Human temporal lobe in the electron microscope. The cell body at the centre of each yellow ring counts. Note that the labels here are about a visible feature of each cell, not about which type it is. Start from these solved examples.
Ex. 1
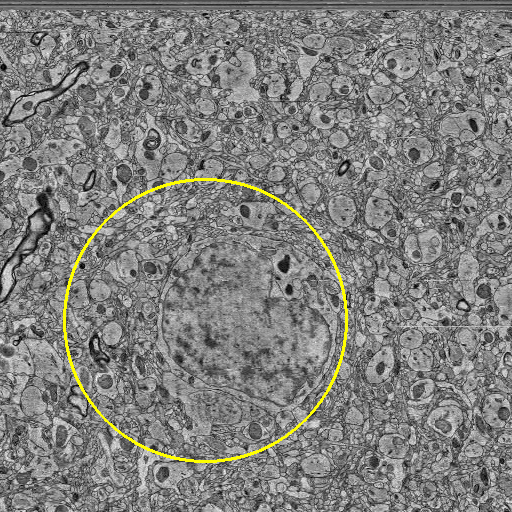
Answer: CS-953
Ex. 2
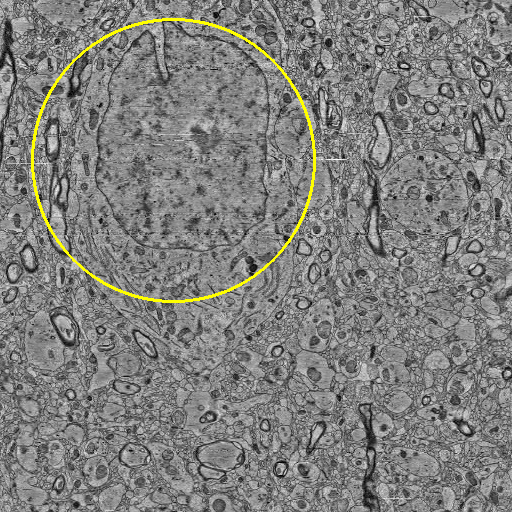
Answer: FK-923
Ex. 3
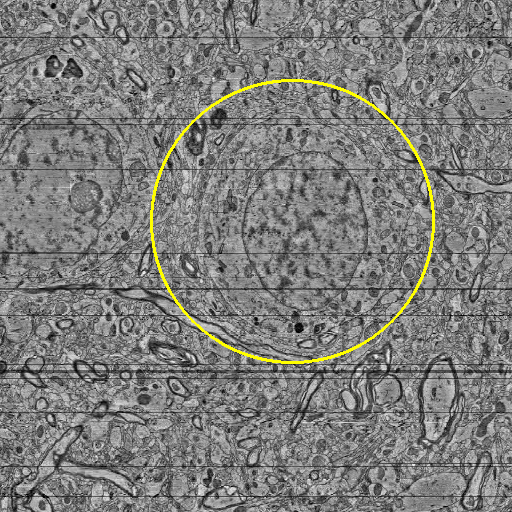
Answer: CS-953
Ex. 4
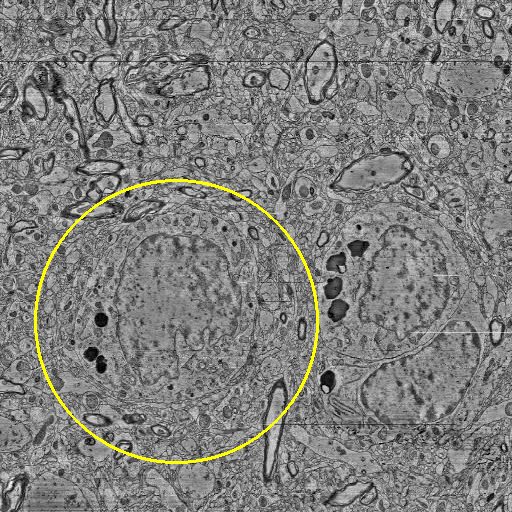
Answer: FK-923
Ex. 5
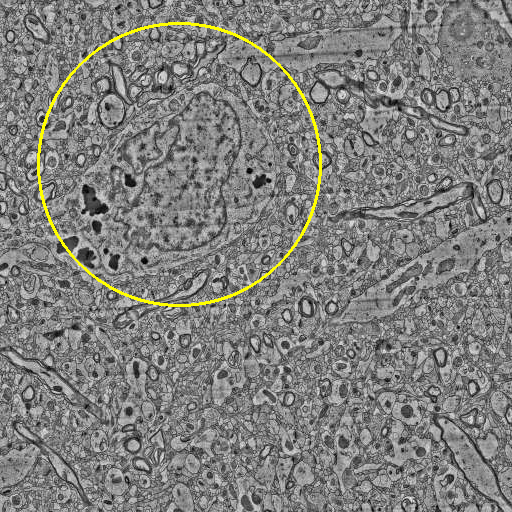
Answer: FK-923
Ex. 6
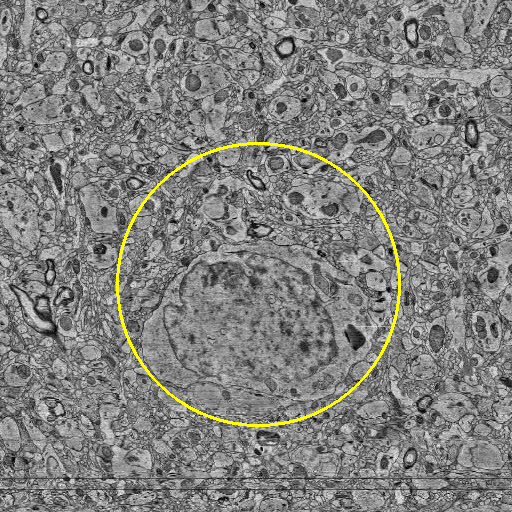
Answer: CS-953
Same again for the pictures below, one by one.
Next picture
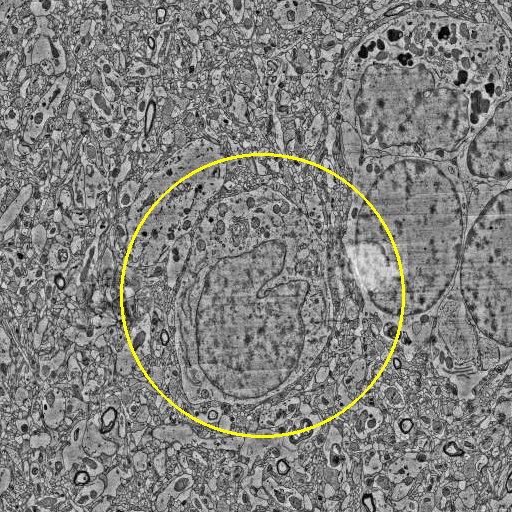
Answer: FK-923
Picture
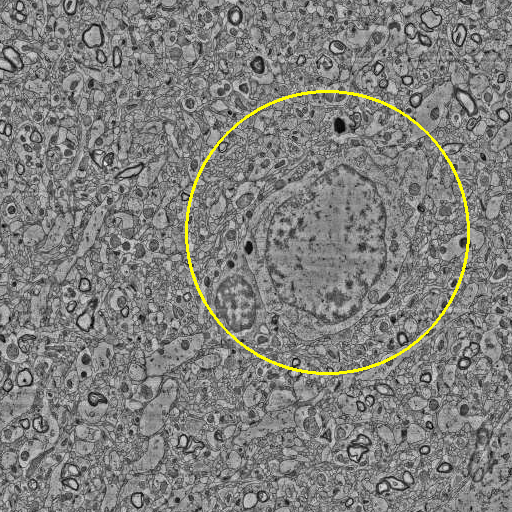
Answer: CS-953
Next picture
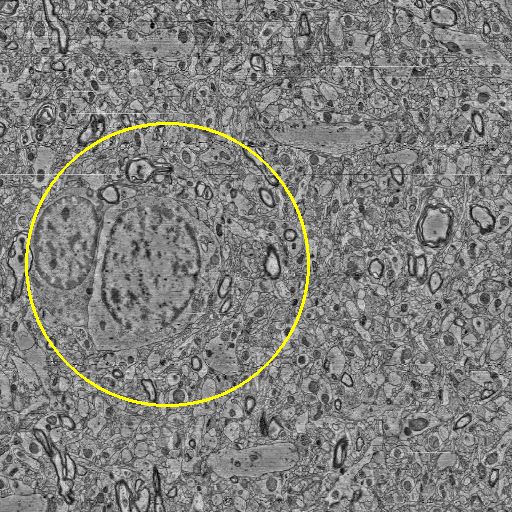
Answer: CS-953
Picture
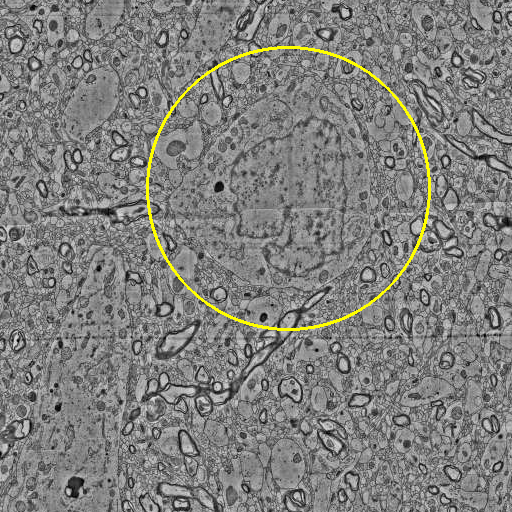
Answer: FK-923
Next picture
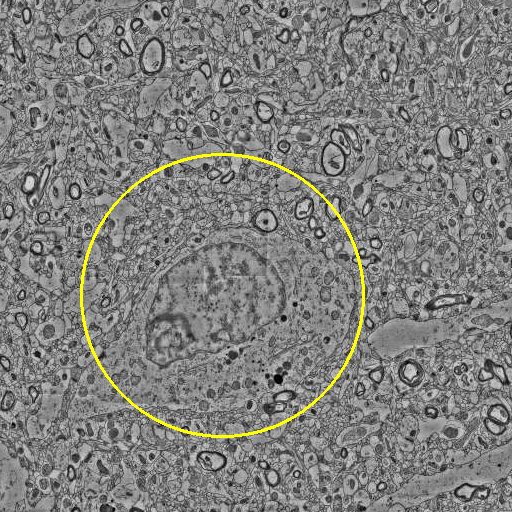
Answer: FK-923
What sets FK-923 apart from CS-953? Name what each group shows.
In FK-923: deeply folded or indented nuclear envelopes. In CS-953: smooth nuclear envelopes without deep folds.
